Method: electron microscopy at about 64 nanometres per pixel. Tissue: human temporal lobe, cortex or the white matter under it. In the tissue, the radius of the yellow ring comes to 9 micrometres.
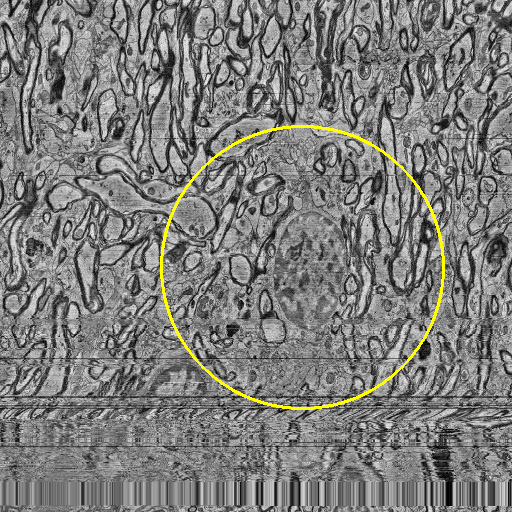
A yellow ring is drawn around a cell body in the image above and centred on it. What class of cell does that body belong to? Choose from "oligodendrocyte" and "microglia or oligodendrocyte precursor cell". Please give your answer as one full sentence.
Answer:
The yellow ring above is centred on the cell body of an oligodendrocyte.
